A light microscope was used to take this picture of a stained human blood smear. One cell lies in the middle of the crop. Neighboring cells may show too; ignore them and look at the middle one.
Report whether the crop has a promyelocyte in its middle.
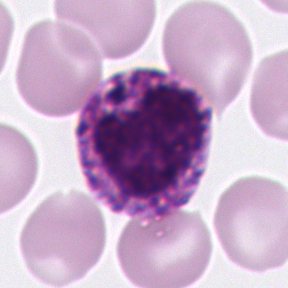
no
